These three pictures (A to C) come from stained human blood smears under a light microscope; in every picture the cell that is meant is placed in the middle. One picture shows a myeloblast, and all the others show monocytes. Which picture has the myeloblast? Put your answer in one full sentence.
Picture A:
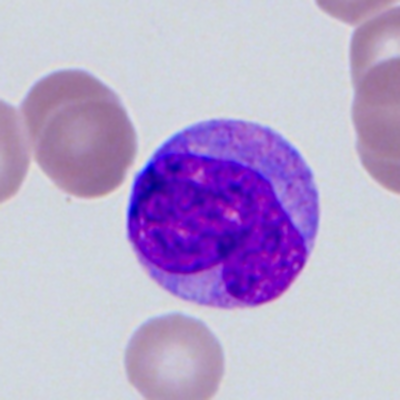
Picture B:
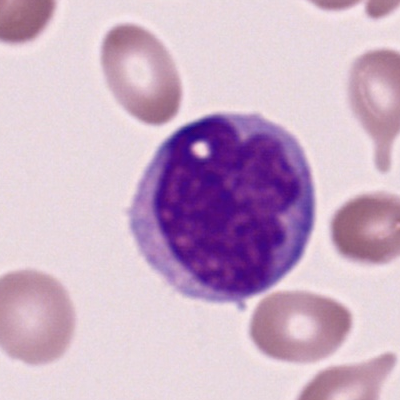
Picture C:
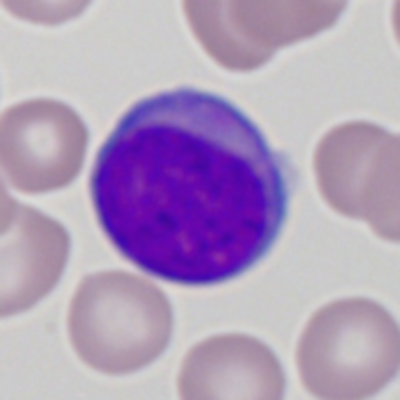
The cell in picture C is the myeloblast.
